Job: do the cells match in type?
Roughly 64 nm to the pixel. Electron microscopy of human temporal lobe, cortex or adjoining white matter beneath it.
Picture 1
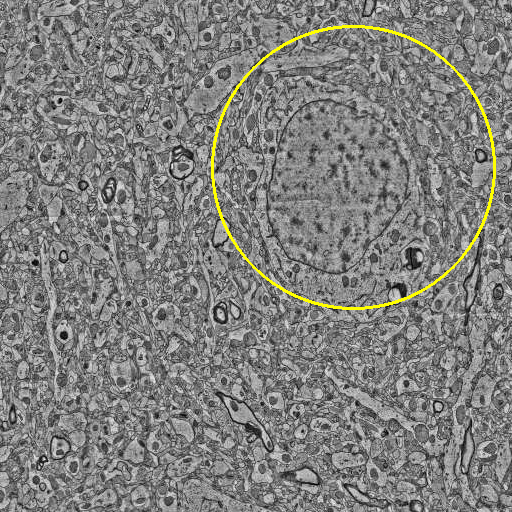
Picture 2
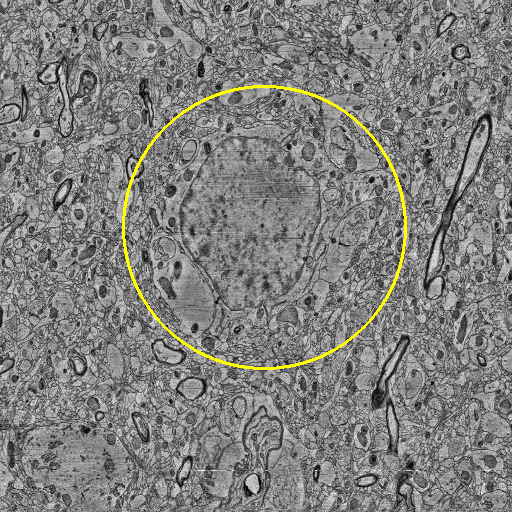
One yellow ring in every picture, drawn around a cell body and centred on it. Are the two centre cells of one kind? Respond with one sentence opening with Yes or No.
No, the ringed cells in the two pictures are of two separate kinds.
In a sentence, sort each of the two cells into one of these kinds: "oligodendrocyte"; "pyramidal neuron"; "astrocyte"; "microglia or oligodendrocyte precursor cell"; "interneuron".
The first of the two cells is a pyramidal neuron, and the second is an interneuron.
